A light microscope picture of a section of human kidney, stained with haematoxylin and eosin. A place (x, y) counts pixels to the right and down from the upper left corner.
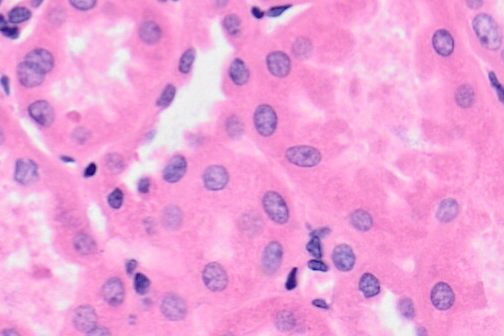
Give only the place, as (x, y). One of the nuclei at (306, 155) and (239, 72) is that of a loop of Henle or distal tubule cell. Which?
(239, 72)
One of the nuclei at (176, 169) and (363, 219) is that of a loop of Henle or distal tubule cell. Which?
(176, 169)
